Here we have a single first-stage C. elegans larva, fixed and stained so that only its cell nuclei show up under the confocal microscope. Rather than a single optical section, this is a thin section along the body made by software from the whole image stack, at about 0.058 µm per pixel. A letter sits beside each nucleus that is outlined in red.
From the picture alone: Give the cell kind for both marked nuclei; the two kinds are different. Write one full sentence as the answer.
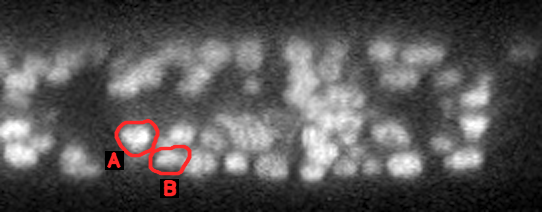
A is in a GLR cell and B is in a neuron.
